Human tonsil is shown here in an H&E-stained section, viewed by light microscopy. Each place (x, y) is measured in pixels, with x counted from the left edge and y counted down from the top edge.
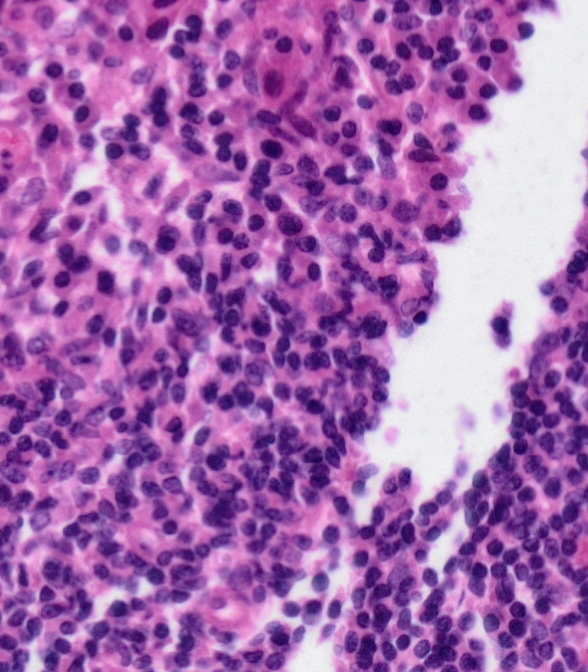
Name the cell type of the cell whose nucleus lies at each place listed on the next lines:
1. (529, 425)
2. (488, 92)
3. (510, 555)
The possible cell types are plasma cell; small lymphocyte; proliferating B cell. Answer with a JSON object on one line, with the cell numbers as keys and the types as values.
{"1": "small lymphocyte", "2": "plasma cell", "3": "small lymphocyte"}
